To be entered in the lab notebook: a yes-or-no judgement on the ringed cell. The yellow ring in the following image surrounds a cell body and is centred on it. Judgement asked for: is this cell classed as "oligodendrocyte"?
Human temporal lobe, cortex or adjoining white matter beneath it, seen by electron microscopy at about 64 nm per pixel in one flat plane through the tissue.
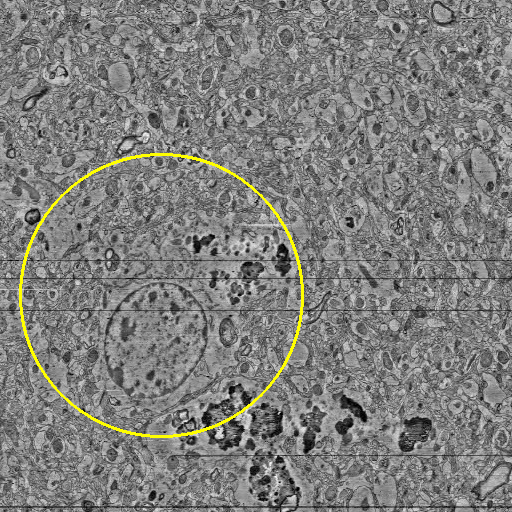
No, it falls in another class.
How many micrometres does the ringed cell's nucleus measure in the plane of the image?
The ringed cell's nucleus is about 8 micrometres long and 6 micrometres wide in this plane.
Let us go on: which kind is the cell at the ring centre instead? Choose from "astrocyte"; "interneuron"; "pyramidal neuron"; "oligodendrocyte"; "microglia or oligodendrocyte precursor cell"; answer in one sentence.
Here, the ring is centred on an astrocyte instead.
